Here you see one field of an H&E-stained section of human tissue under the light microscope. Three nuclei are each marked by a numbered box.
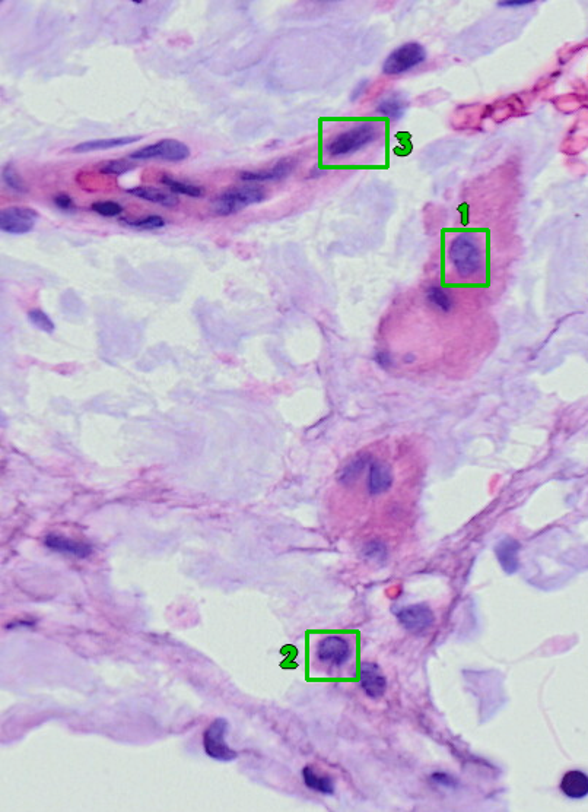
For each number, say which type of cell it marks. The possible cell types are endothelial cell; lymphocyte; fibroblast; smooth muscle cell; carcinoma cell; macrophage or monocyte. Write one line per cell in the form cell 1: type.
cell 1: smooth muscle cell
cell 2: macrophage or monocyte
cell 3: endothelial cell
